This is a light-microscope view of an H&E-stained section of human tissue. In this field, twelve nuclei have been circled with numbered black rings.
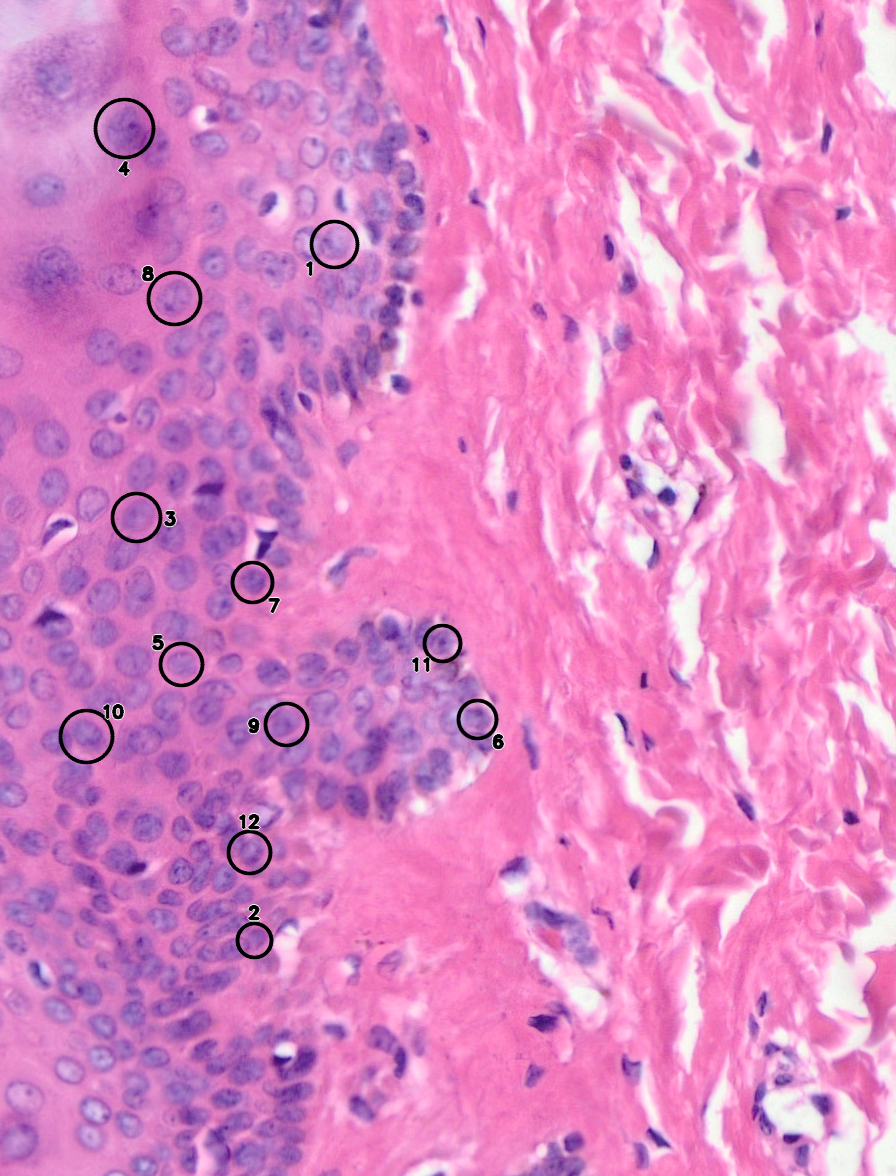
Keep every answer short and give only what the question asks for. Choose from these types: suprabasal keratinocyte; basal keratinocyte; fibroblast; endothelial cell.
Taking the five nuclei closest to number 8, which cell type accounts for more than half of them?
suprabasal keratinocyte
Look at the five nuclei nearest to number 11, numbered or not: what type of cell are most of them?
basal keratinocyte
